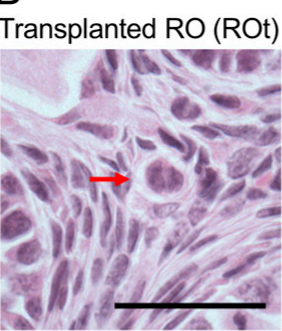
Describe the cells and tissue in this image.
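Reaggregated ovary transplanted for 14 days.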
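Some rounder, more darkly stained cells sit among the spindle cells. A pale pink, largely acellular area occupies the upper left corner of the field.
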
